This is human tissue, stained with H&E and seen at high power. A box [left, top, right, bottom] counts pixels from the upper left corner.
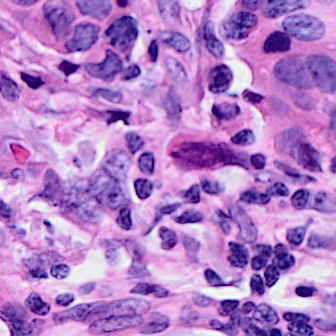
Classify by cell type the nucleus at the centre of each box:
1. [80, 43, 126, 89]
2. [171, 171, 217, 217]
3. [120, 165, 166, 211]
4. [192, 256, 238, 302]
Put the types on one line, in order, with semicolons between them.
carcinoma cell; lymphocyte; lymphocyte; lymphocyte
